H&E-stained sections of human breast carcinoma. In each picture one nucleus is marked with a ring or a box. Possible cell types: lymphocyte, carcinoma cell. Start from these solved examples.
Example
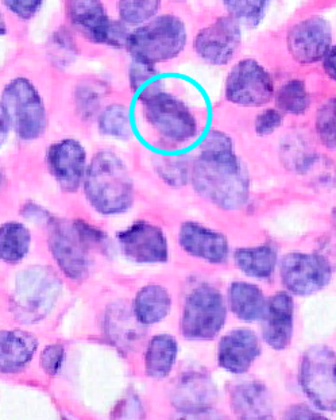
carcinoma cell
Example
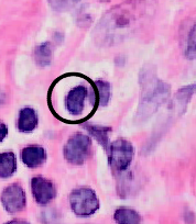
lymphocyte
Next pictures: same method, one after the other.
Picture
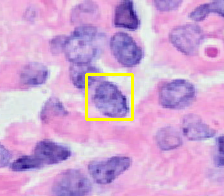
carcinoma cell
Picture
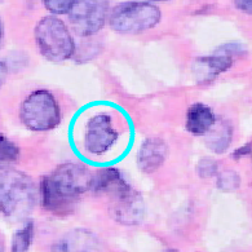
carcinoma cell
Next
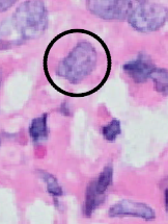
carcinoma cell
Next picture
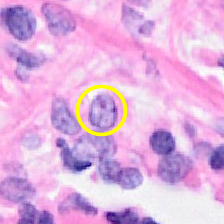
carcinoma cell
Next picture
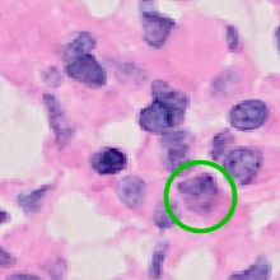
carcinoma cell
